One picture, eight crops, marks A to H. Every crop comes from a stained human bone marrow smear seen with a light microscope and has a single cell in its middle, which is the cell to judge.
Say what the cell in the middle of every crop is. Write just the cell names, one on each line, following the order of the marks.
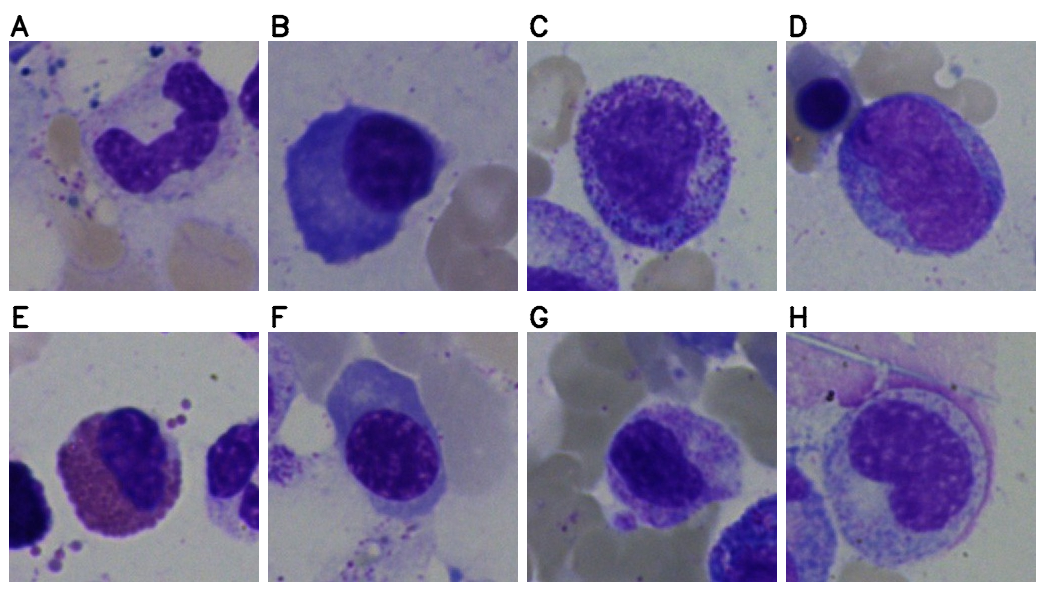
segmented neutrophil
plasma cell
myelocyte
blast
eosinophil
erythroblast
myelocyte
metamyelocyte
